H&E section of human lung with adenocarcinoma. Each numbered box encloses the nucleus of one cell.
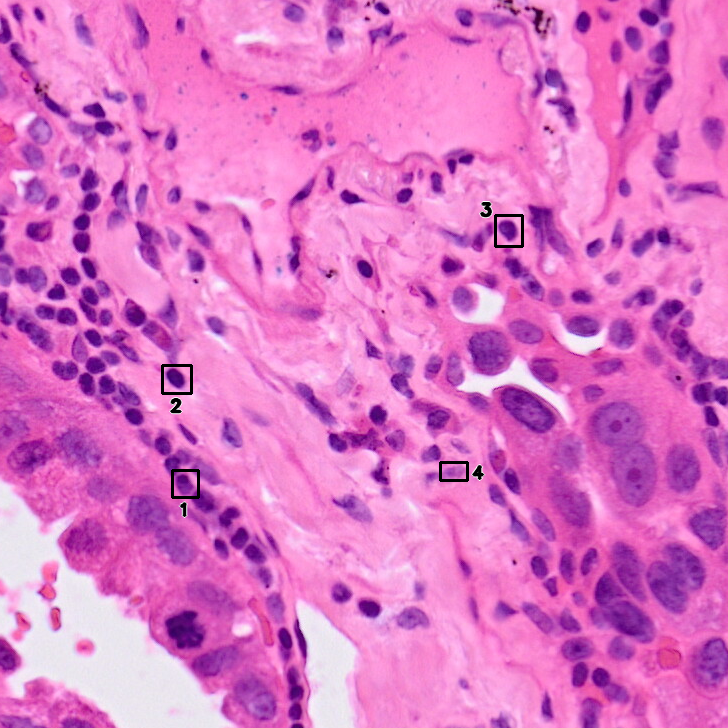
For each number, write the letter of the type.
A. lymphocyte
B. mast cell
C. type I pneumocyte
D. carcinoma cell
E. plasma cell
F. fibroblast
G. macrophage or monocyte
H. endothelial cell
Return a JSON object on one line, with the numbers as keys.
{"1": "A", "2": "A", "3": "A", "4": "F"}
